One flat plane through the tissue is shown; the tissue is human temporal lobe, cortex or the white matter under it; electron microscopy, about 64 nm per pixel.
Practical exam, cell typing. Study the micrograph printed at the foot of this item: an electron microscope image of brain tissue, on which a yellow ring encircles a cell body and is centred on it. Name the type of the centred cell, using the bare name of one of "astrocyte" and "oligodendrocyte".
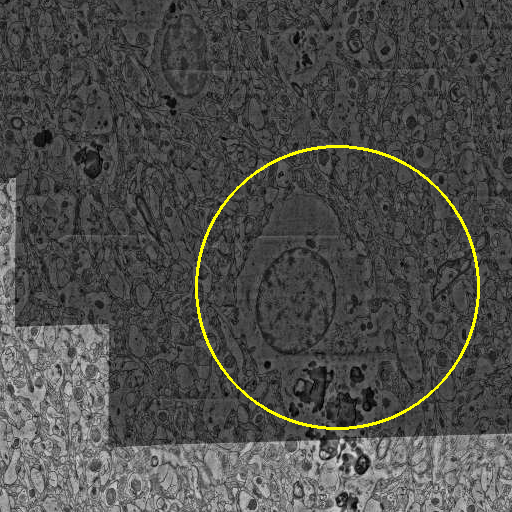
astrocyte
